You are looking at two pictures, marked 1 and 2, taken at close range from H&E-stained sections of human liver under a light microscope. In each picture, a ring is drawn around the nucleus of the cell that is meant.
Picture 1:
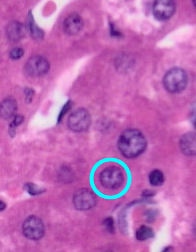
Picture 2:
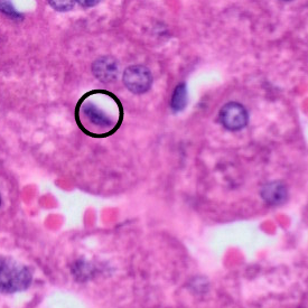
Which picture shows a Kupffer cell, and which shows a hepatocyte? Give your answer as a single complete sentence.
In picture 1 the cell is a hepatocyte; in picture 2, a Kupffer cell.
